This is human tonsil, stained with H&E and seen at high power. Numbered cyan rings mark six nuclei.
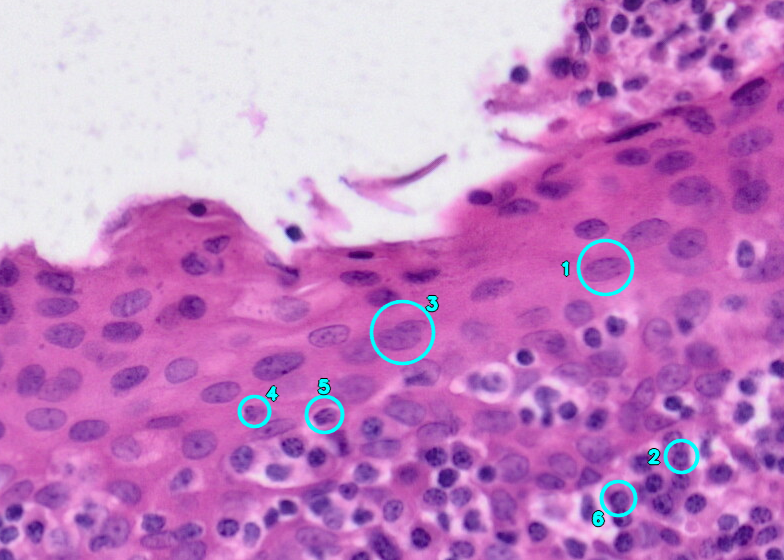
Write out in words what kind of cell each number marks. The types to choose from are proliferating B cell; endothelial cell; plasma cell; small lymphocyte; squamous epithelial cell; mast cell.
Cells 1, 3, 4 and 5 are squamous epithelial cells. Cells 2 and 6 are plasma cells.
